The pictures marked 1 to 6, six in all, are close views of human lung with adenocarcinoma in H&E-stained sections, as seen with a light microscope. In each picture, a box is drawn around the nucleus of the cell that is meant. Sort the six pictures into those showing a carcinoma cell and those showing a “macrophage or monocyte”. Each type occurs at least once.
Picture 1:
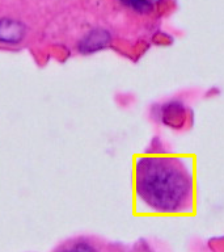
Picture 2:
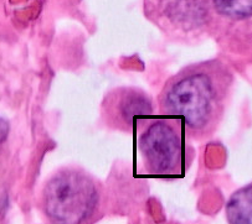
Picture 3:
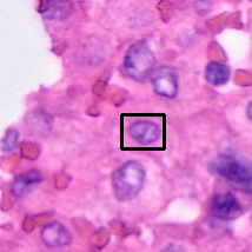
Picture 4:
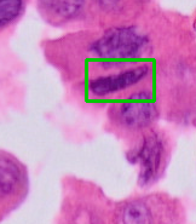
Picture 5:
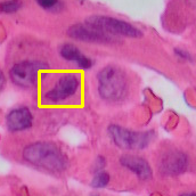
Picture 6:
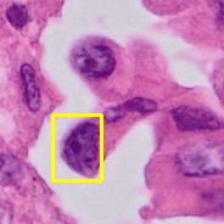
1: carcinoma cell
2: carcinoma cell
3: macrophage or monocyte
4: carcinoma cell
5: macrophage or monocyte
6: carcinoma cell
